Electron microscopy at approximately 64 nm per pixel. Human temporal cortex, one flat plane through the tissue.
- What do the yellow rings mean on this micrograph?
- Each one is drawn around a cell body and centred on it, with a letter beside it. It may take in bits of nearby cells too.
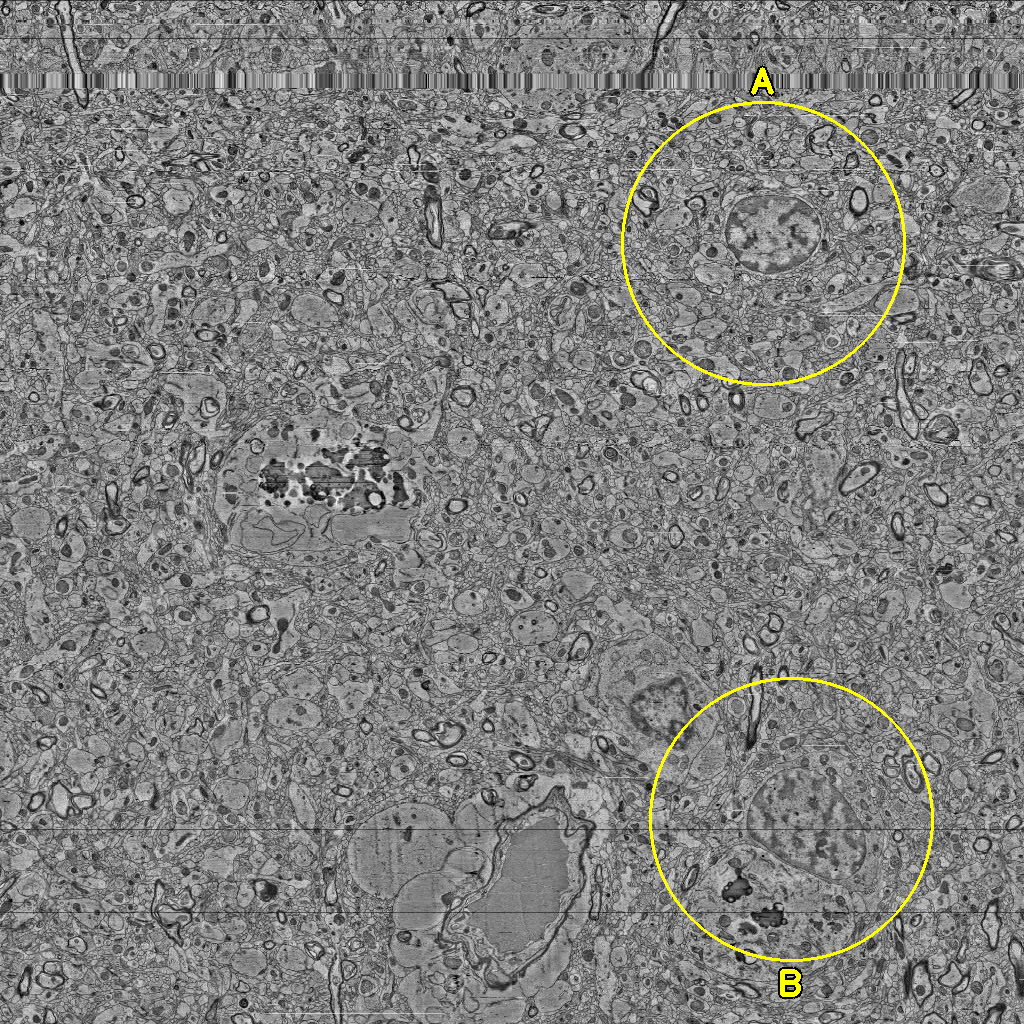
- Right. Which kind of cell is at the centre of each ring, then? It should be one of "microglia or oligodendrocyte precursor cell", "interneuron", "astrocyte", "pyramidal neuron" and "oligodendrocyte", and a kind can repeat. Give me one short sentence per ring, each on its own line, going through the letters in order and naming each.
Ring A circles the cell body of a microglial cell or oligodendrocyte precursor cell.
Ring B circles the cell body of an oligodendrocyte.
